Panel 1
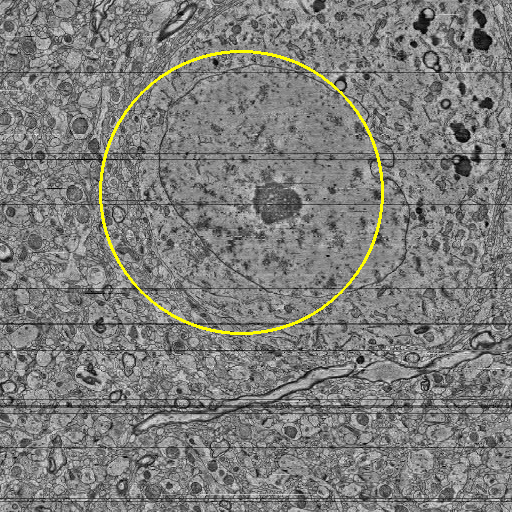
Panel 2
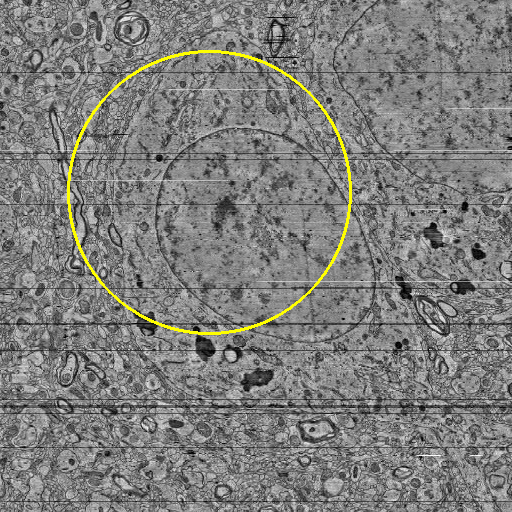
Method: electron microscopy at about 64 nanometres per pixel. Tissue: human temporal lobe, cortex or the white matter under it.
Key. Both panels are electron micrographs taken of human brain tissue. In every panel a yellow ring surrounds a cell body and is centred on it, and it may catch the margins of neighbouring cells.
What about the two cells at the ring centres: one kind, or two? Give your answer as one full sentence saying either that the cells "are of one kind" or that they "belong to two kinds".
Across Panels 1 and 2, the two cells at the ring centres are of one kind.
